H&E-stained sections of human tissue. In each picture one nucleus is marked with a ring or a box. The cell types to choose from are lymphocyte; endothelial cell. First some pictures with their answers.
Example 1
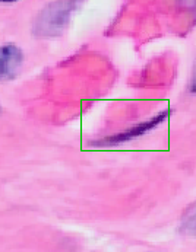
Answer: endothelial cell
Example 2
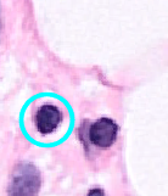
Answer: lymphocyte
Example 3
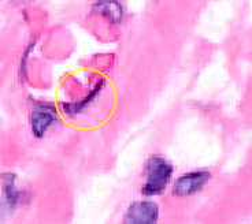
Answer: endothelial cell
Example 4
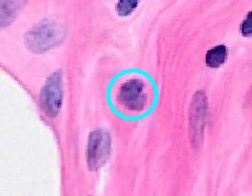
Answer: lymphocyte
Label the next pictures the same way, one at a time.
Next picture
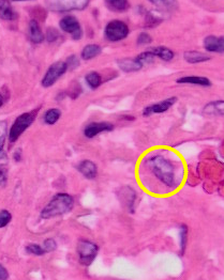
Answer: endothelial cell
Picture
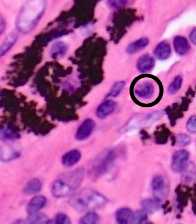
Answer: lymphocyte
